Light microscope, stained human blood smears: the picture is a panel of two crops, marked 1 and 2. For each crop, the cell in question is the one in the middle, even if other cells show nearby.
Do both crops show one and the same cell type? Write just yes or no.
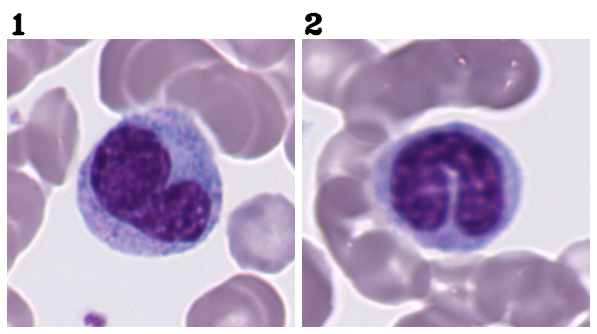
yes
